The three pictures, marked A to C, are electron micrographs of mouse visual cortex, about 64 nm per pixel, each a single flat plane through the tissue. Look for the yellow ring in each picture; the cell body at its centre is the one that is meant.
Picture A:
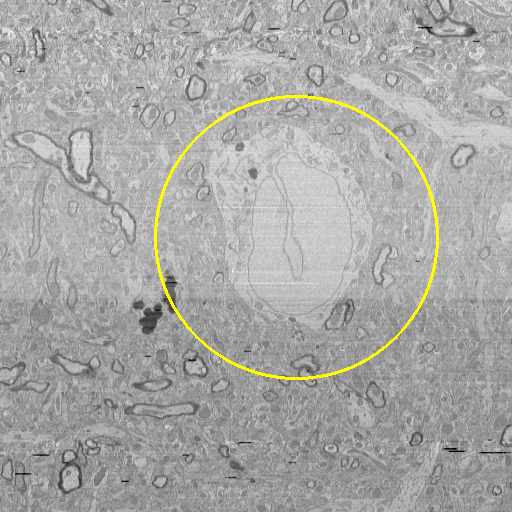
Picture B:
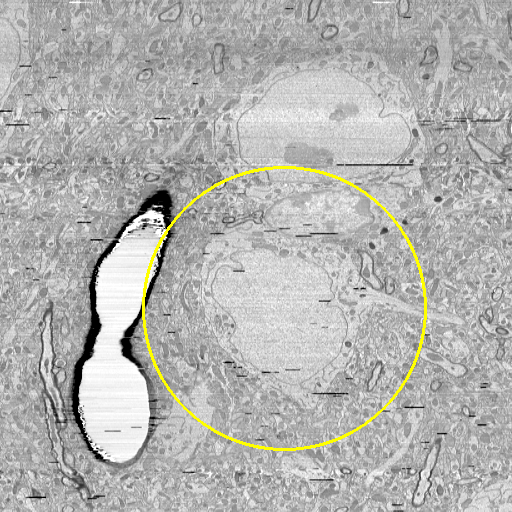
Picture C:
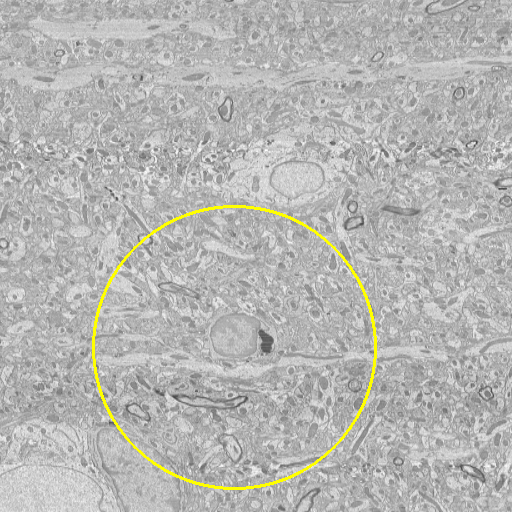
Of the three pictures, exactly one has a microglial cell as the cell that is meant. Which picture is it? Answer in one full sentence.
The cell in picture C is the microglial cell.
